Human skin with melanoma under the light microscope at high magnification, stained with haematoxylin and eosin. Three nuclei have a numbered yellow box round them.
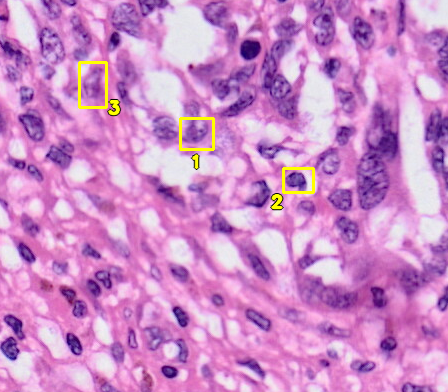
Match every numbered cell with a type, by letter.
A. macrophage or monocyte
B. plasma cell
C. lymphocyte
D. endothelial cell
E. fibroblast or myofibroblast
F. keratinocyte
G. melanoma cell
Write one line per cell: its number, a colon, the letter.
1: G
2: C
3: G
